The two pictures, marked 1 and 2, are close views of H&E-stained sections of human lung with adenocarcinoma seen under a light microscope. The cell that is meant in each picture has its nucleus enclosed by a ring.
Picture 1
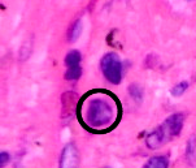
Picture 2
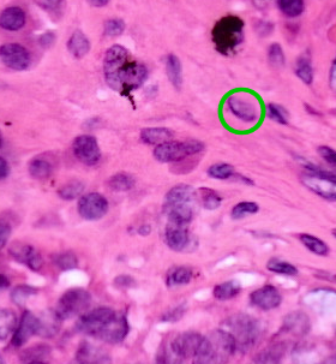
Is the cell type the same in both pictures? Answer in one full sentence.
No. Picture 1 shows a plasma cell, but picture 2 shows a fibroblast.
